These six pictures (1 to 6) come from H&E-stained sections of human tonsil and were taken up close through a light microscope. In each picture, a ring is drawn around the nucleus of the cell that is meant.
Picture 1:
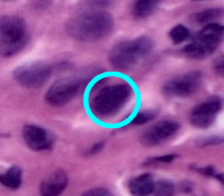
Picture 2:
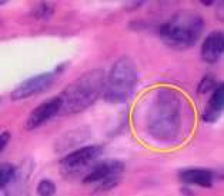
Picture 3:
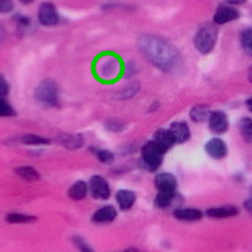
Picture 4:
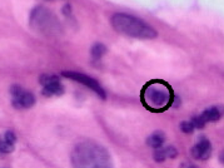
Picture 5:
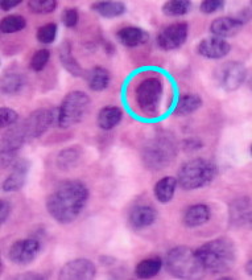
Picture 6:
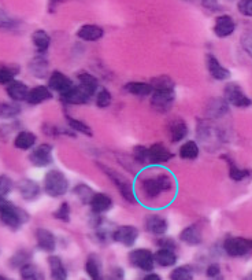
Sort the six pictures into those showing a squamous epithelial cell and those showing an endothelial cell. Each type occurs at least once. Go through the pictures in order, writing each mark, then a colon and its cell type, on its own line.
1: squamous epithelial cell
2: endothelial cell
3: endothelial cell
4: squamous epithelial cell
5: squamous epithelial cell
6: endothelial cell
